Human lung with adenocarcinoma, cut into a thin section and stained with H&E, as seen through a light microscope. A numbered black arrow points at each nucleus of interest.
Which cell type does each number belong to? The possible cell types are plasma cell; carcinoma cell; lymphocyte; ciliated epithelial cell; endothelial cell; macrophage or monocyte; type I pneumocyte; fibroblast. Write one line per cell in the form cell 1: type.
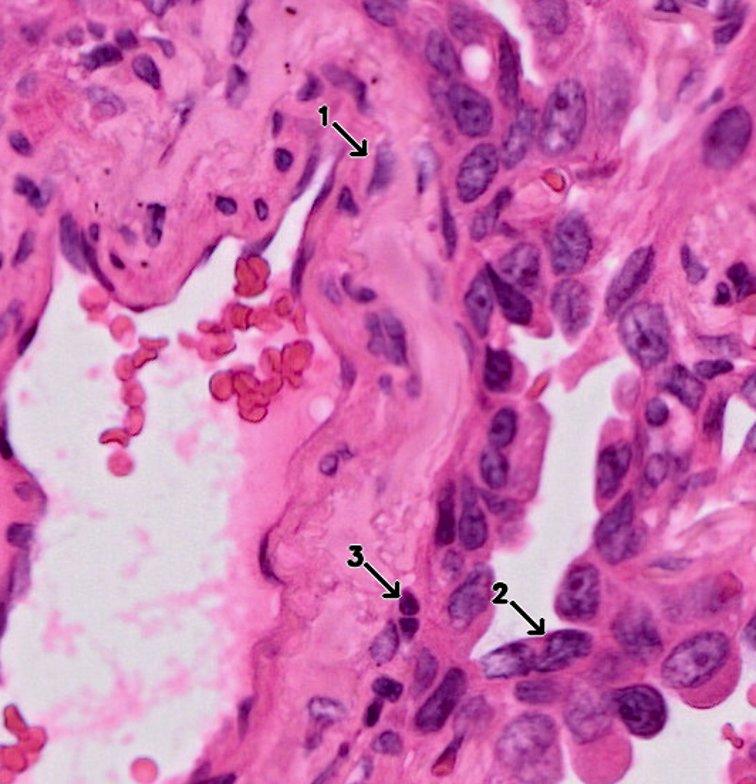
cell 1: fibroblast
cell 2: carcinoma cell
cell 3: lymphocyte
